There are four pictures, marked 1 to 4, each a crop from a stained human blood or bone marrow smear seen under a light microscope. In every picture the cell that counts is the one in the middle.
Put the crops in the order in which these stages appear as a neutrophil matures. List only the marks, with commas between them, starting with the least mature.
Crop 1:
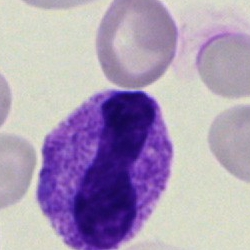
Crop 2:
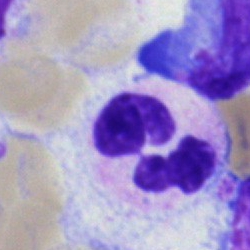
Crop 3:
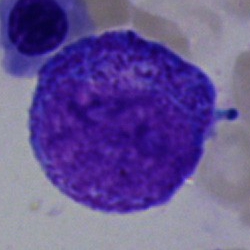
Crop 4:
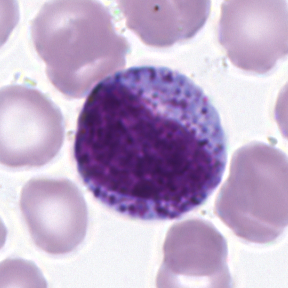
3, 4, 1, 2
